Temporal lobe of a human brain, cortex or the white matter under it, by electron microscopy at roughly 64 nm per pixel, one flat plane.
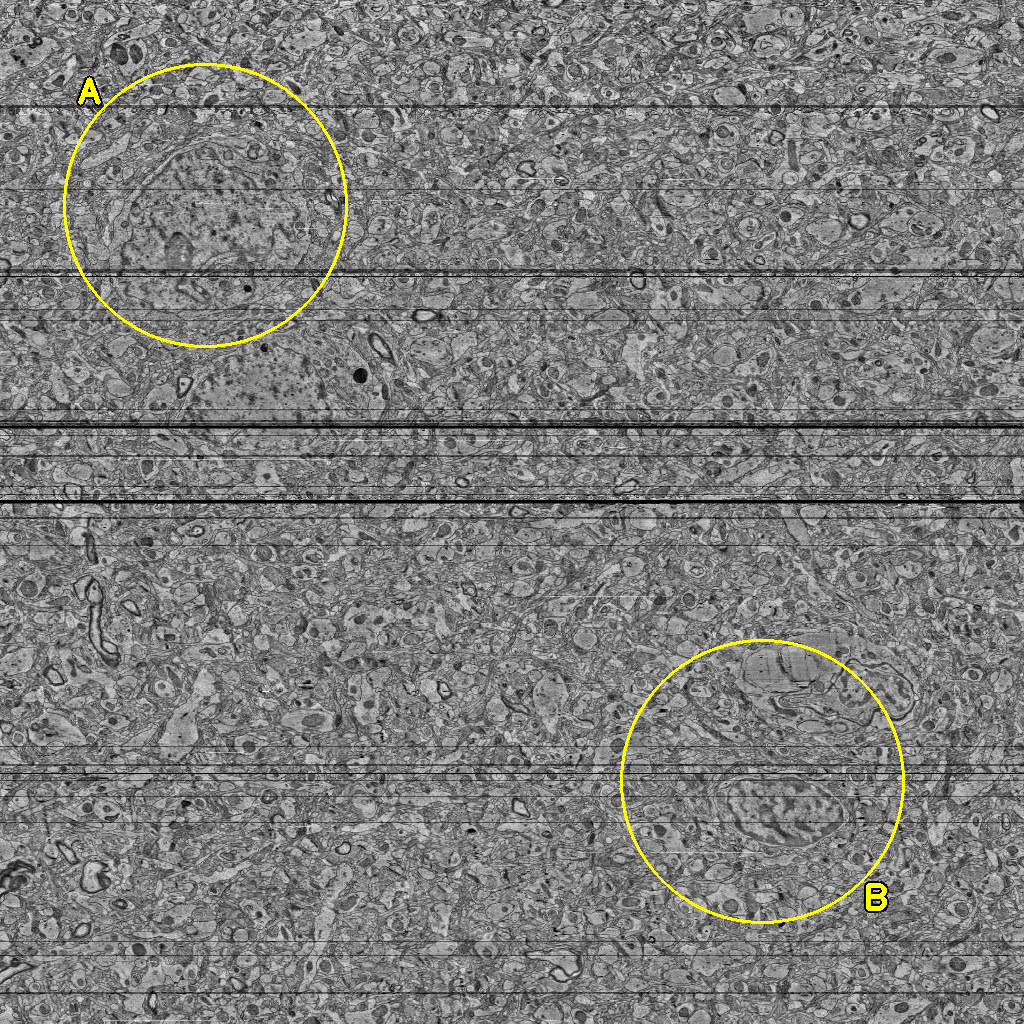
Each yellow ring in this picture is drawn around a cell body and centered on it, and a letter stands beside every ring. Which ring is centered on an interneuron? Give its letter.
A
